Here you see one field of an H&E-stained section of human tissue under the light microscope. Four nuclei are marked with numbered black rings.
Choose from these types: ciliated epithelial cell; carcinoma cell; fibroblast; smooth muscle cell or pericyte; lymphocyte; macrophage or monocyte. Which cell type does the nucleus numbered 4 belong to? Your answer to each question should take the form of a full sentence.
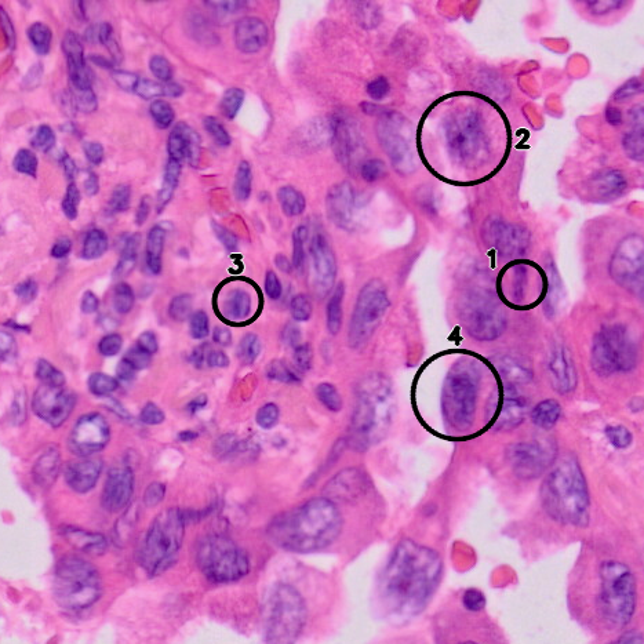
The marked nucleus 4 is that of a carcinoma cell.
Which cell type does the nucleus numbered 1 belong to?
Identified by the number 1, the cell is a carcinoma cell.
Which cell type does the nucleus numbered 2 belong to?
The cell identified by number 2 is a carcinoma cell.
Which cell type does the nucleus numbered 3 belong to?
The cell identified by number 3 is a lymphocyte.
